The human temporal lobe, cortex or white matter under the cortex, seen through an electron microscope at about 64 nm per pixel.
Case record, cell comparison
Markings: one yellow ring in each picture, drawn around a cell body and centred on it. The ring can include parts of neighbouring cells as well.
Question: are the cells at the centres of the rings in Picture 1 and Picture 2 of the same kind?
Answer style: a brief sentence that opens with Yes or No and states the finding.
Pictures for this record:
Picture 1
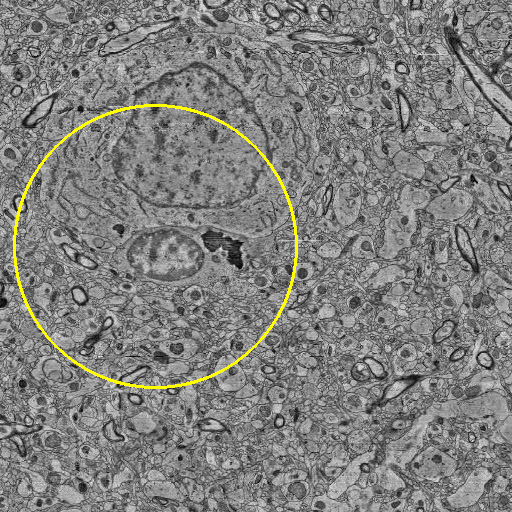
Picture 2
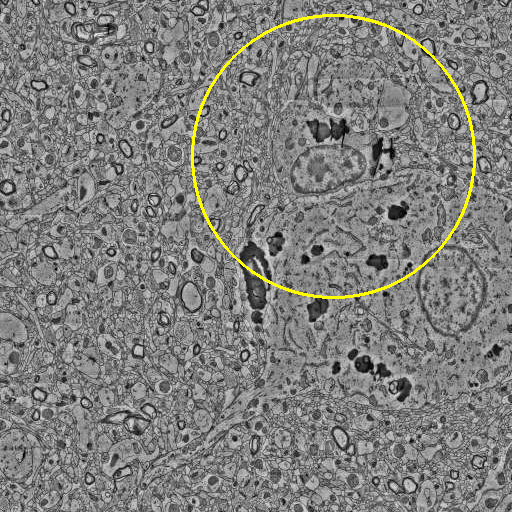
Yes, the cells in Picture 1 and Picture 2 are of the same kind.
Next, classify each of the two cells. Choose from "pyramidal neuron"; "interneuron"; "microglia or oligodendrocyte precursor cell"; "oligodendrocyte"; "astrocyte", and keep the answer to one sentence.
In the first picture and in the second, the ring is centred on an oligodendrocyte.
